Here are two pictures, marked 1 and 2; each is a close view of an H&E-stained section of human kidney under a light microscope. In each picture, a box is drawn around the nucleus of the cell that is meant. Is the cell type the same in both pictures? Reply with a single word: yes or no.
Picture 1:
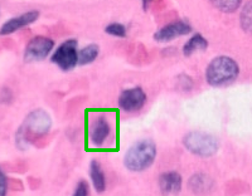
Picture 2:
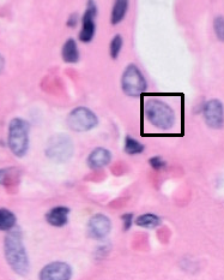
no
